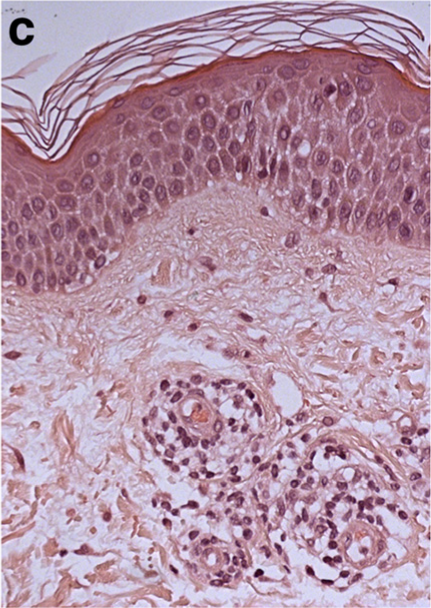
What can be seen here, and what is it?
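Skin at higher magnification with epidermis above and papillary dermis below, where small vessels are surrounded by round inflammatory cells. The epidermis consists of keratinocytes with round vesicular nuclei and pink cytoplasm, covered by a loose, basket-weave cornified layer. Beneath it the papillary dermis is pale and loosely fibrillar with scattered spindle and round cells.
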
